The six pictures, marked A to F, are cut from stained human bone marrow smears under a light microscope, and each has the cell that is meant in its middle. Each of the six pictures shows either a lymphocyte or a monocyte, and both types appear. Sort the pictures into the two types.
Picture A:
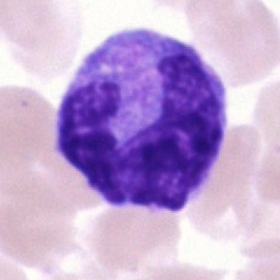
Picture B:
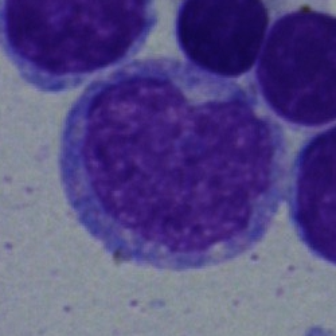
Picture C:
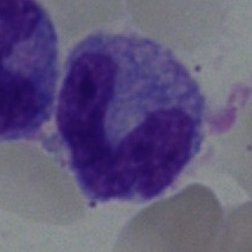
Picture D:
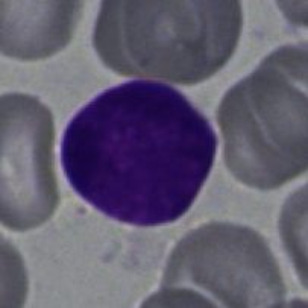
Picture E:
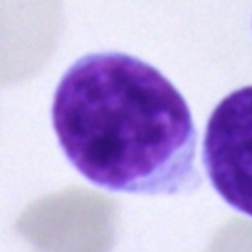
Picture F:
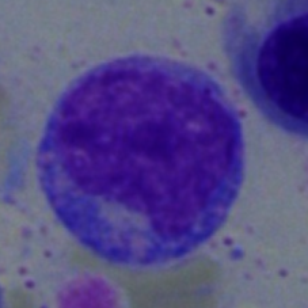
A: monocyte
B: monocyte
C: monocyte
D: lymphocyte
E: lymphocyte
F: monocyte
